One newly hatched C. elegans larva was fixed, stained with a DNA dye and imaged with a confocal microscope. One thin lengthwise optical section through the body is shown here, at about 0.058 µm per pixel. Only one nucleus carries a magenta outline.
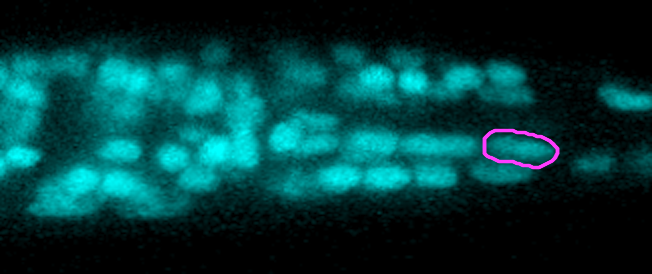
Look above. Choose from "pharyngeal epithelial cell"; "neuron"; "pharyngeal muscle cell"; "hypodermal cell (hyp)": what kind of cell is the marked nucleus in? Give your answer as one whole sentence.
What is marked is the nucleus of a pharyngeal epithelial cell.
